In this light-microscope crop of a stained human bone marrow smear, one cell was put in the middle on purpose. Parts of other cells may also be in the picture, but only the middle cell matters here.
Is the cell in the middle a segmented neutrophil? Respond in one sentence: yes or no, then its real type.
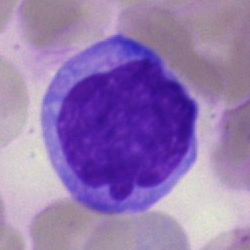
No, that is not a segmented neutrophil; the middle cell is a monocyte.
